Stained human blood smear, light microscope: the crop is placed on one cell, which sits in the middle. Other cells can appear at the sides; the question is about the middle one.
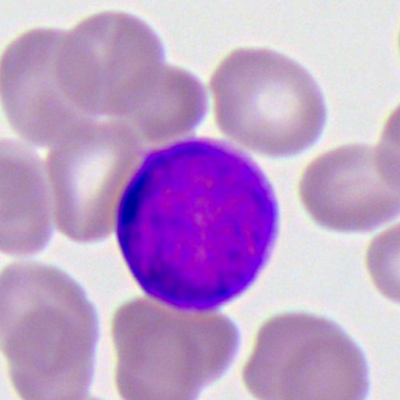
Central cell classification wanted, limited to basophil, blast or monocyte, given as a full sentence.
The cell at the middle of the crop is recognized as a blast.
